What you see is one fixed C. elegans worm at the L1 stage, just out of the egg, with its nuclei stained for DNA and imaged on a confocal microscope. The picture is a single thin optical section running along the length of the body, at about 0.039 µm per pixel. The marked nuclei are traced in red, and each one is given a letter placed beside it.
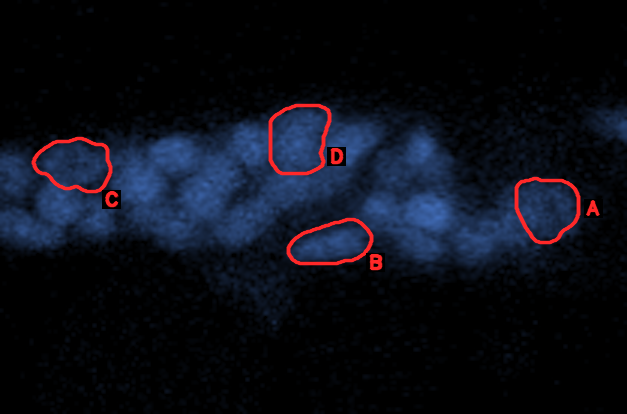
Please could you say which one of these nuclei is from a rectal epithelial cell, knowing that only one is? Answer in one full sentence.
B is the one that belongs to a rectal epithelial cell.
